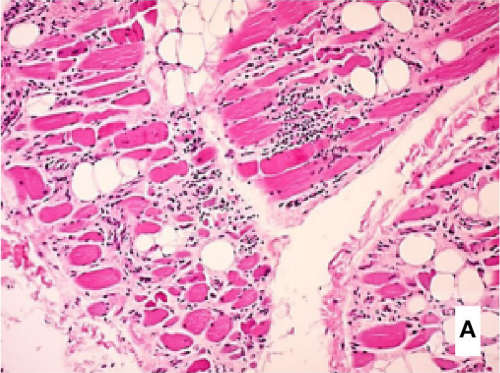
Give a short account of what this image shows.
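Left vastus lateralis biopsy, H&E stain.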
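Skeletal muscle in cross and longitudinal section, with pink fibers of strongly varying size, from small rounded to large polygonal ones. Clusters of small dark nuclei fill the spaces between fiber groups. Empty rounded fat cells lie among the fibers, and a pale band of connective tissue crosses the field.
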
